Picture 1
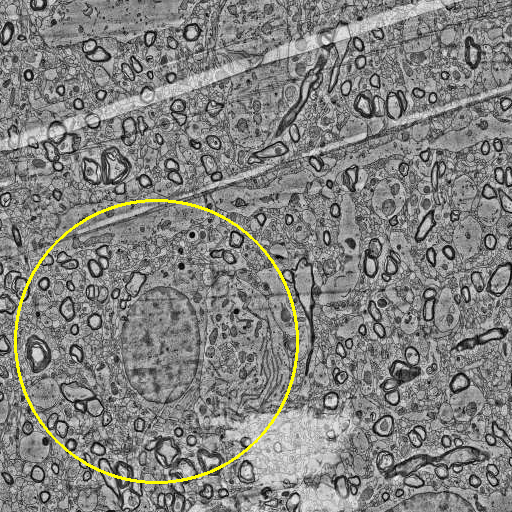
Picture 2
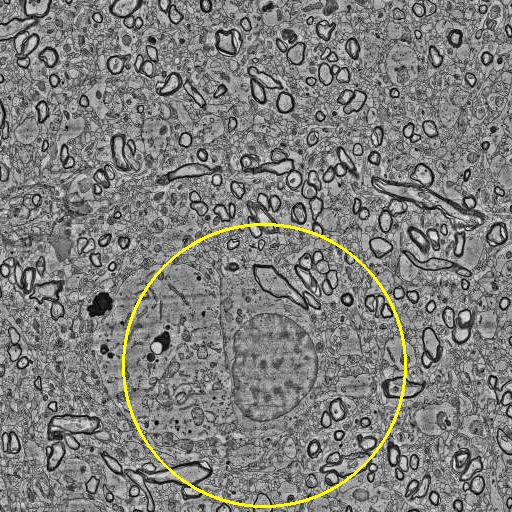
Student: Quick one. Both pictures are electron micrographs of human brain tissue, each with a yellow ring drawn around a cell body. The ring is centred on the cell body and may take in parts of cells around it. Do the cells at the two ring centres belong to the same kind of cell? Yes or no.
yes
